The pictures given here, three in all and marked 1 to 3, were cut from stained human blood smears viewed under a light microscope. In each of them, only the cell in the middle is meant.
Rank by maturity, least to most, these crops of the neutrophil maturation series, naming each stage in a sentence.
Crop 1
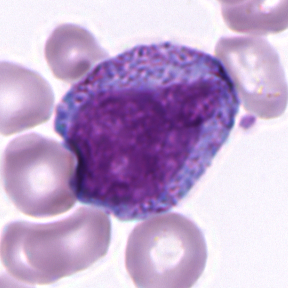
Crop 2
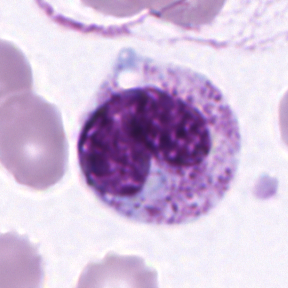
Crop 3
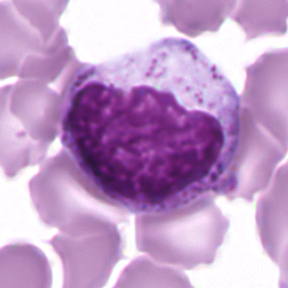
Least to most mature, the crops line up as crop 1 (a promyelocyte), crop 3 (a myelocyte) and crop 2 (a metamyelocyte).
